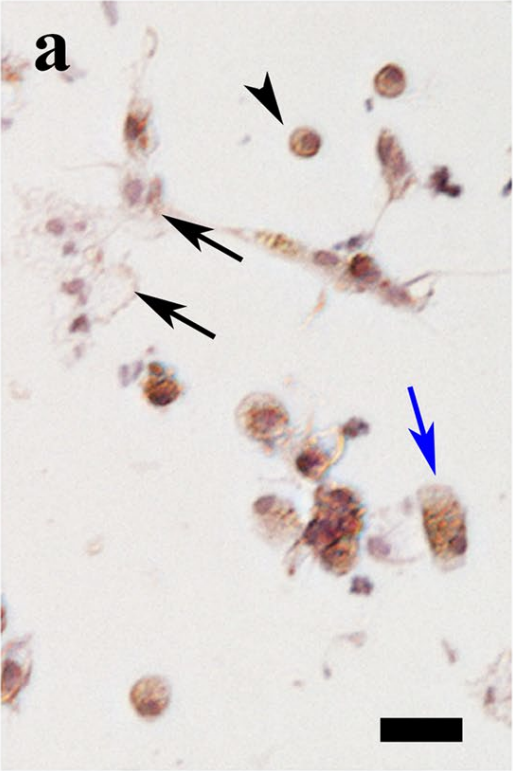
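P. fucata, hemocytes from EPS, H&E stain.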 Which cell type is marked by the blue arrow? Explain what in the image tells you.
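The marked cell is large, and its cytoplasm is packed with coarse brown granules. That points to this answer: granulocytes.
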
